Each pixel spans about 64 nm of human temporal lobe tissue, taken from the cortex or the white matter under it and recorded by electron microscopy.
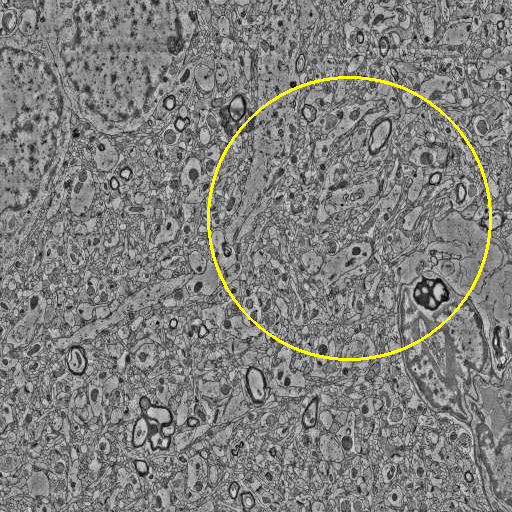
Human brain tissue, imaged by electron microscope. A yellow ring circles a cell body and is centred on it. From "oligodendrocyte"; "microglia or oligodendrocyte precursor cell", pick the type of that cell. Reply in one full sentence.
The cell body at the centre of the yellow ring belongs to a microglial cell or oligodendrocyte precursor cell.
